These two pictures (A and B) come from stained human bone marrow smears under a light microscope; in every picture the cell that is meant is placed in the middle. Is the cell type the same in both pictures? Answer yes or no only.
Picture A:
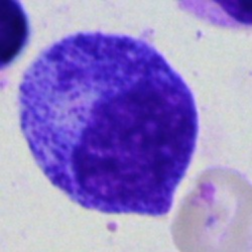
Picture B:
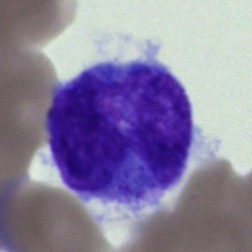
no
